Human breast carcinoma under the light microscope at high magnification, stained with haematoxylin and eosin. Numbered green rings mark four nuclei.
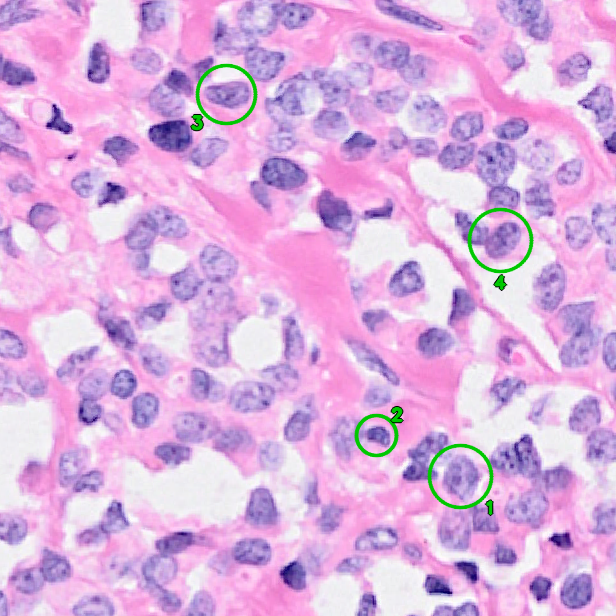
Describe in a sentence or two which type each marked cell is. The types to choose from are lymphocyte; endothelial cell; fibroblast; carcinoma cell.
Cells 1, 3 and 4 are carcinoma cells. Cell 2 is a lymphocyte.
